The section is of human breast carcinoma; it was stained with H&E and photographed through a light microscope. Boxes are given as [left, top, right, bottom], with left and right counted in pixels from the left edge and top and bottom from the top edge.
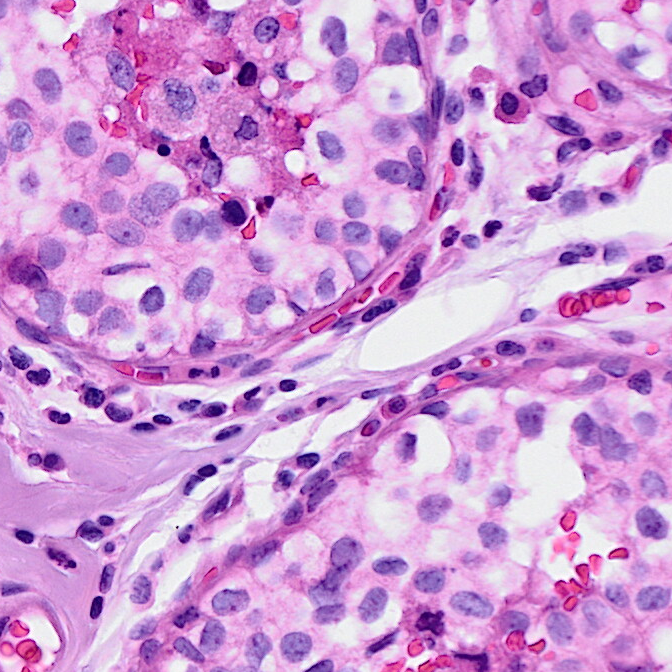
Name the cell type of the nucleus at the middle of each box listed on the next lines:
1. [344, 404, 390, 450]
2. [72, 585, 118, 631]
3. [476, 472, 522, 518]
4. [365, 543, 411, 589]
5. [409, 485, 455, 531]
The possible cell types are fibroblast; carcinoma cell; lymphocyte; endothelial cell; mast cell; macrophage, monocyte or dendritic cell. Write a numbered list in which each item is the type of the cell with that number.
1. endothelial cell
2. lymphocyte
3. carcinoma cell
4. carcinoma cell
5. carcinoma cell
